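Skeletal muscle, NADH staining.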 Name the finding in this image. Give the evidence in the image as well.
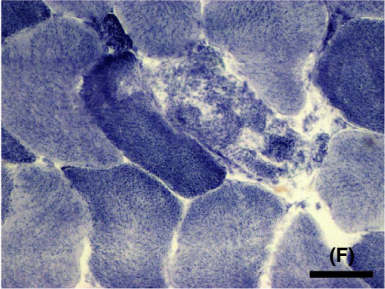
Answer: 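Myofibrillar network disarray. In one fibre the blue network is coarse, patchy and broken up. Neighbouring fibres show an even fine-grained blue network.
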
